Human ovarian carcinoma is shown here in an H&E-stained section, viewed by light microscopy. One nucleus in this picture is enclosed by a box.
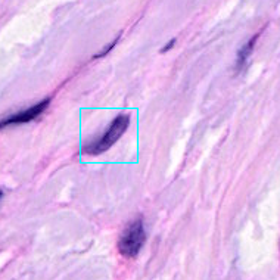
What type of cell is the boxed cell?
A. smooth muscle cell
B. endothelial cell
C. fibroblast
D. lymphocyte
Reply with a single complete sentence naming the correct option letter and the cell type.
Of all the options, C is right, since the boxed cell is a fibroblast.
